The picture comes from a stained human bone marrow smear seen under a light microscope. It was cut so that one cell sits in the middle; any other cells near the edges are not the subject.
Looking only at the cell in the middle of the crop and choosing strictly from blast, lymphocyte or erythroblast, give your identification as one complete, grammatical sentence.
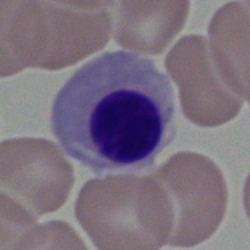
The center cell of this crop is an erythroblast.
